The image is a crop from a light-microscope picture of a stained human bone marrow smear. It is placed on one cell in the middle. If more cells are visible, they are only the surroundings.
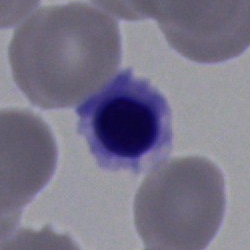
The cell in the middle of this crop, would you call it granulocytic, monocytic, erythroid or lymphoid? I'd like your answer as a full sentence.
The central cell derives from the erythroid lineage.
